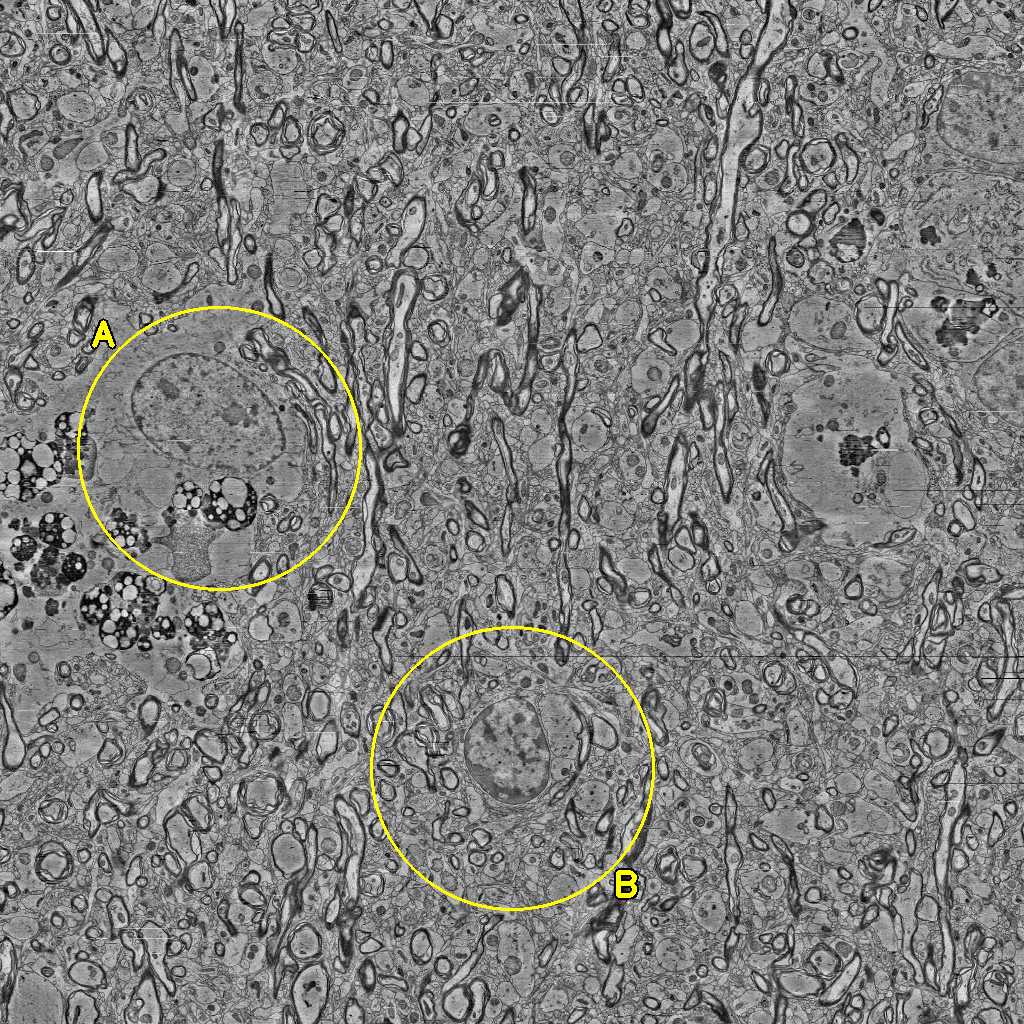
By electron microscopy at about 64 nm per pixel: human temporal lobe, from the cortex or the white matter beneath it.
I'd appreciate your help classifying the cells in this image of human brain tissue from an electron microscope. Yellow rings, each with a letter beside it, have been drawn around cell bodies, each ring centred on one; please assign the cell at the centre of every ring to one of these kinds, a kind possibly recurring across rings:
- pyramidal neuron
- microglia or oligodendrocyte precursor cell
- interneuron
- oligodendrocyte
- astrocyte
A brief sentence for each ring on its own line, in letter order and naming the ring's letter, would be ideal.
In ring A, the central cell is an astrocyte.
In ring B, the central cell is a microglial cell or oligodendrocyte precursor cell.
